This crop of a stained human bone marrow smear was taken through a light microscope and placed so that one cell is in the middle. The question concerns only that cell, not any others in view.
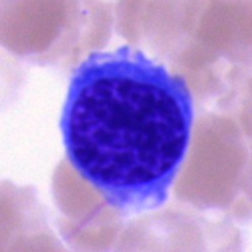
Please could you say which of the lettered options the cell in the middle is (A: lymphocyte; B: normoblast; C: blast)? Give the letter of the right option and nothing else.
B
